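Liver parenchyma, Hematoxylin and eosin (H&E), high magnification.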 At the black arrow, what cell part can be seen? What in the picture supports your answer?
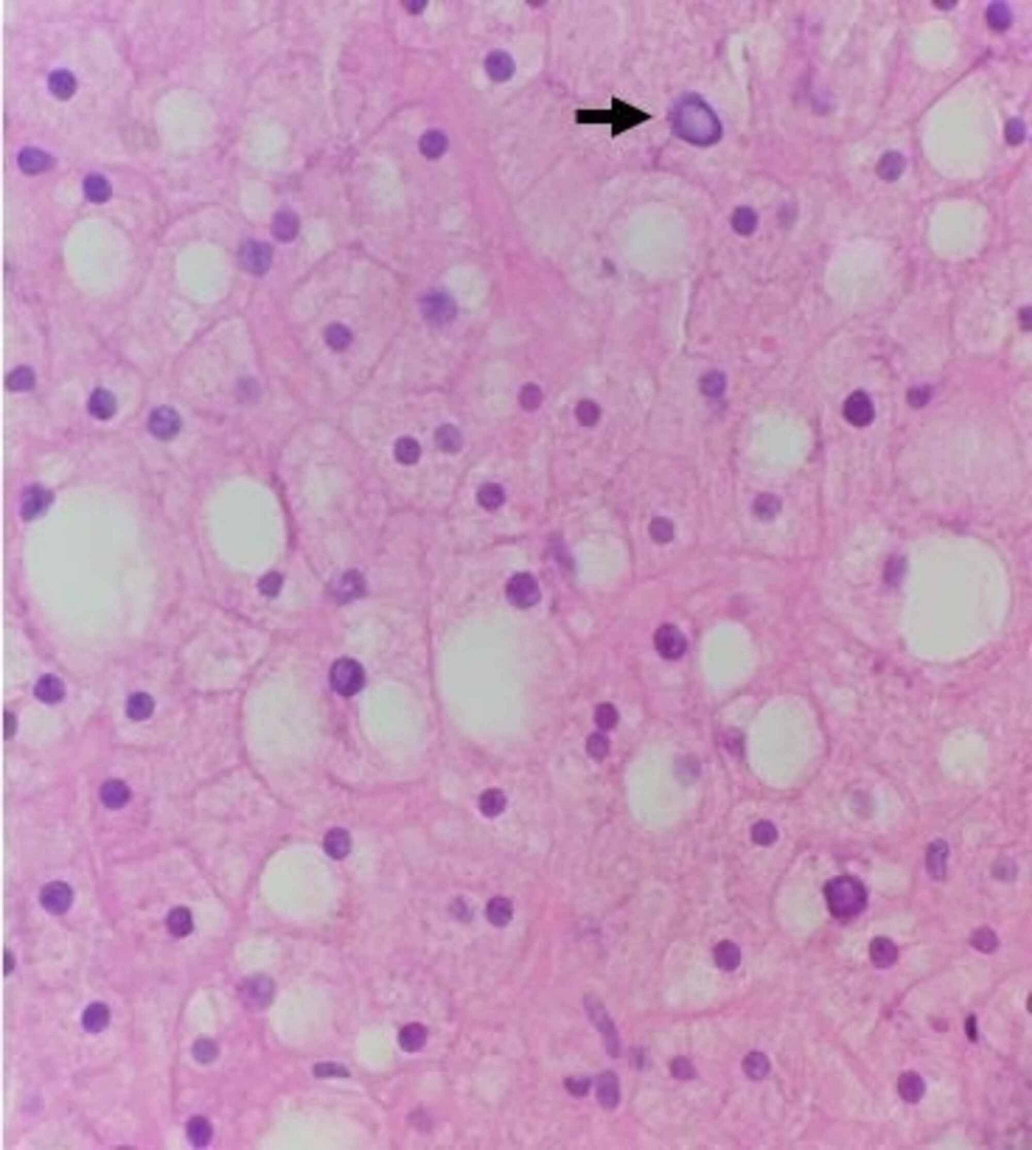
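Glycogenated nuclei. The arrowed nucleus is larger than its neighbours. The arrowed nucleus has a pale, cleared centre with a darker purple rim.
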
